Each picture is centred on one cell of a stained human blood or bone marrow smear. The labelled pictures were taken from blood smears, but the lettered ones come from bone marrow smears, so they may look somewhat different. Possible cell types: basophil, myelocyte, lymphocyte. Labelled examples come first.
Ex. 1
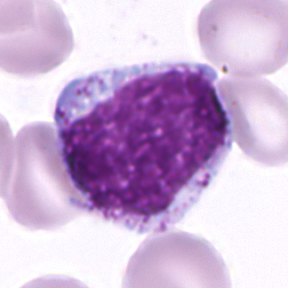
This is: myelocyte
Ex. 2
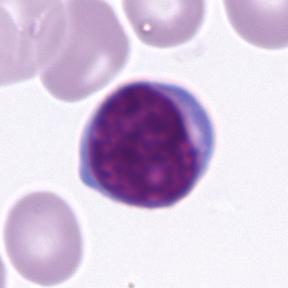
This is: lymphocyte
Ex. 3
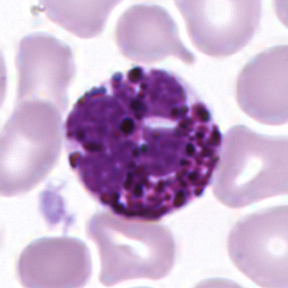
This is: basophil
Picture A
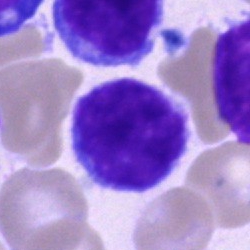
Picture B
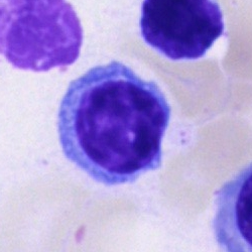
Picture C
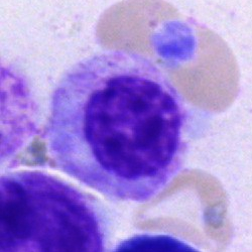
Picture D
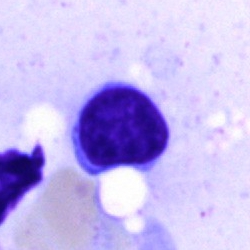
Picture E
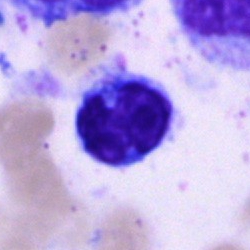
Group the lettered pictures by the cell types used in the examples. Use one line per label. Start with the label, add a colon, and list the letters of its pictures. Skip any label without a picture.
myelocyte: C
lymphocyte: A, B, D, E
